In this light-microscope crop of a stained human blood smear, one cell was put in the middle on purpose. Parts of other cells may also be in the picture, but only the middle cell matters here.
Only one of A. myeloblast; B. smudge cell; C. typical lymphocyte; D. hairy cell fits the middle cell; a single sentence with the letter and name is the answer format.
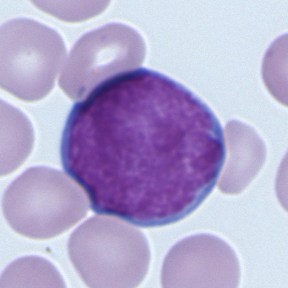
Since the cell in the middle is a myeloblast, option A is correct.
